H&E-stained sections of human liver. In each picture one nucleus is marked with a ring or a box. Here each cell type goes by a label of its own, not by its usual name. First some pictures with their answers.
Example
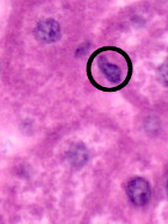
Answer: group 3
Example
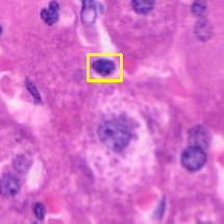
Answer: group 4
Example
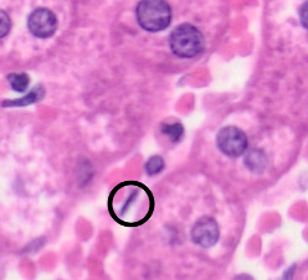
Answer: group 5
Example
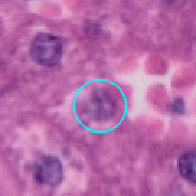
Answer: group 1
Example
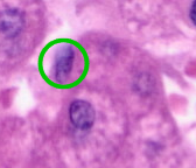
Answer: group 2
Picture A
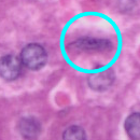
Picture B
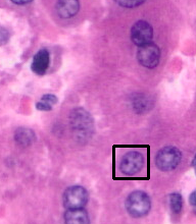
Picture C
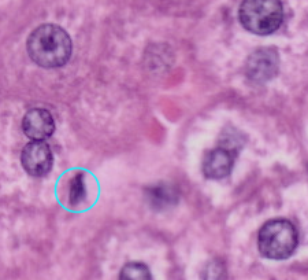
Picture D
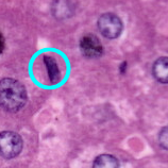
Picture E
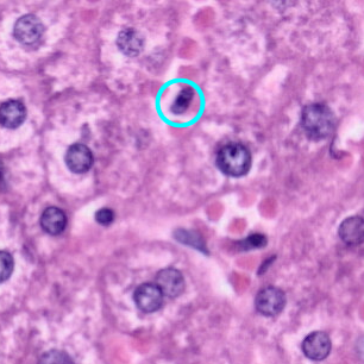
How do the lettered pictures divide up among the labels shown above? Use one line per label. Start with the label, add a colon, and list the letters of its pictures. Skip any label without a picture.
group 3: D
group 4: E
group 5: C
group 1: B
group 2: A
